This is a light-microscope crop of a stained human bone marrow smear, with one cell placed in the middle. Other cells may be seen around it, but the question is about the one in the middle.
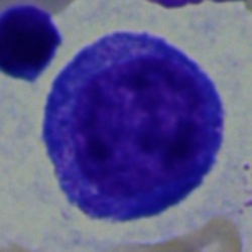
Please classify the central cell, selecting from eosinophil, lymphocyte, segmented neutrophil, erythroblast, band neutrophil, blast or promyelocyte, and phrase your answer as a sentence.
Standing at the centre of this crop is a promyelocyte.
